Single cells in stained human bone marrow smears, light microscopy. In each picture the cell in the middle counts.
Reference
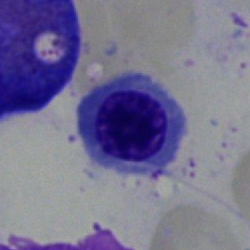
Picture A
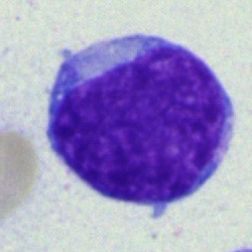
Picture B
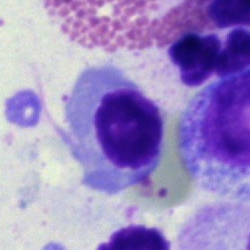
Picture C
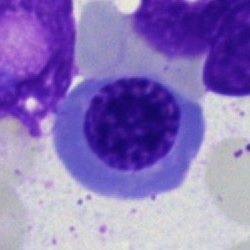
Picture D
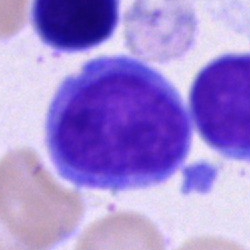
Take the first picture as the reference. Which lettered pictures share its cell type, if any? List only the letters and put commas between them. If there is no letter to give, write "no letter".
B, C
